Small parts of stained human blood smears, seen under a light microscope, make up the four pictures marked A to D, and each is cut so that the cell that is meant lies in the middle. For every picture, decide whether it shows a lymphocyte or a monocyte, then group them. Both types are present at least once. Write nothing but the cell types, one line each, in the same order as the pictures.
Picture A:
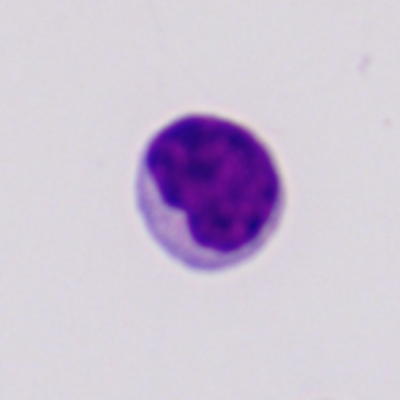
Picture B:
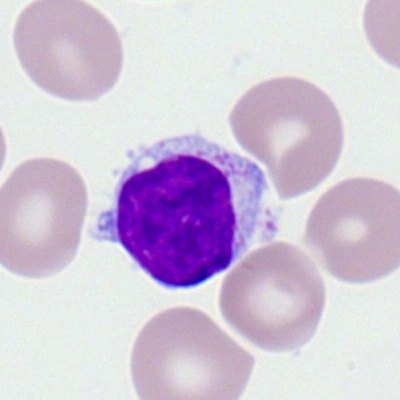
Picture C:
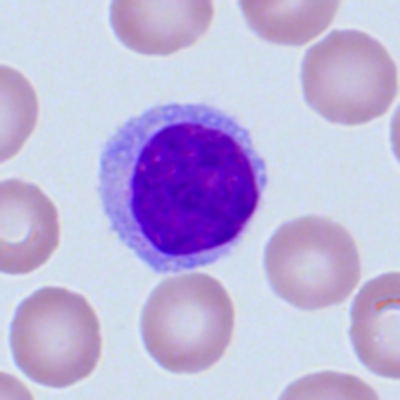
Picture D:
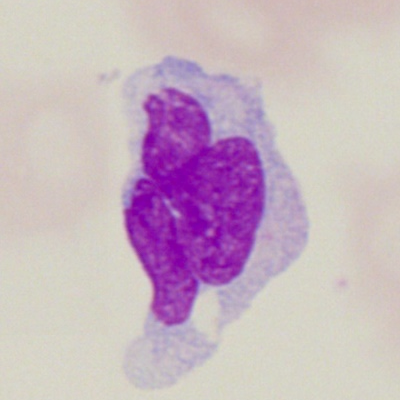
lymphocyte
lymphocyte
lymphocyte
monocyte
